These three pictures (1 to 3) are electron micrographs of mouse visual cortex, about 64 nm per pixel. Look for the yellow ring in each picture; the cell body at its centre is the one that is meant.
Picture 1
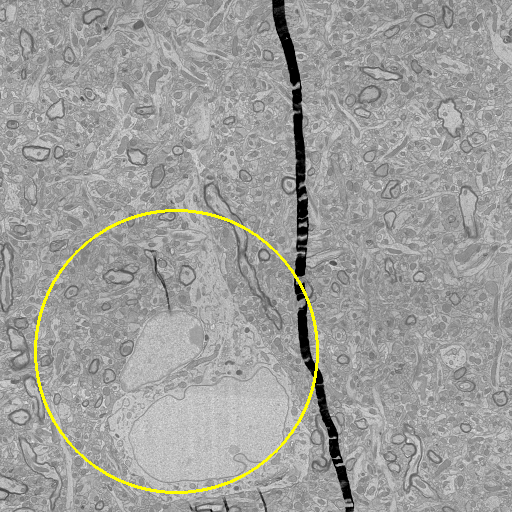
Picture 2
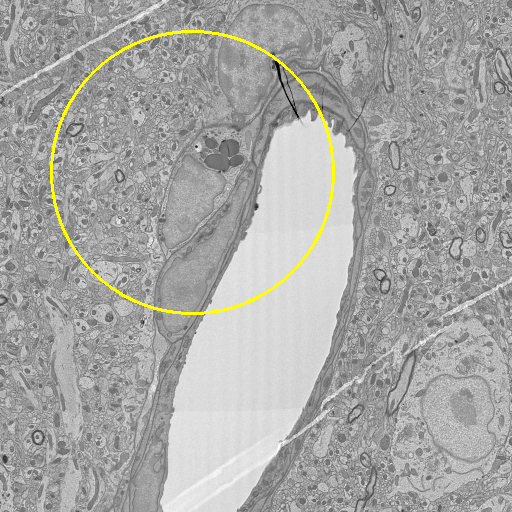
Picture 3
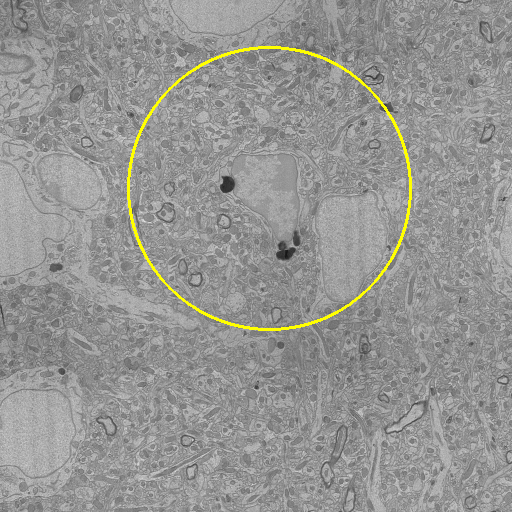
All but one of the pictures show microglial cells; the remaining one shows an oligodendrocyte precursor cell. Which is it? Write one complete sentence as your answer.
Picture 1 shows the oligodendrocyte precursor cell.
